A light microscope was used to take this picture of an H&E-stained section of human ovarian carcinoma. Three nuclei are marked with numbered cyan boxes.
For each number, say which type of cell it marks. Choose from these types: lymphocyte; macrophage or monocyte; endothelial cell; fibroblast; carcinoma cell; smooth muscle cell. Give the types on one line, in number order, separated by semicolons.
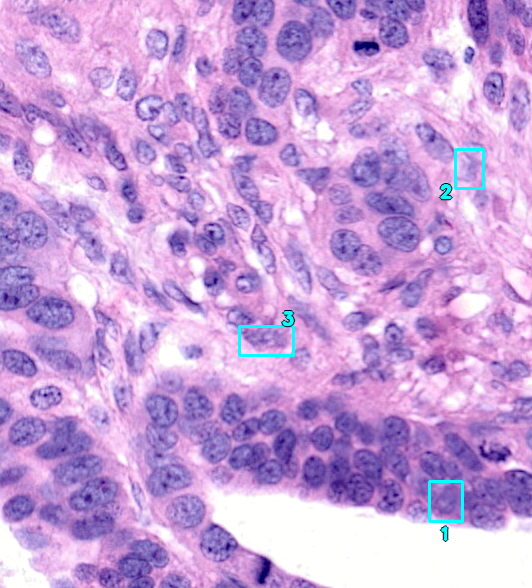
carcinoma cell; fibroblast; fibroblast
